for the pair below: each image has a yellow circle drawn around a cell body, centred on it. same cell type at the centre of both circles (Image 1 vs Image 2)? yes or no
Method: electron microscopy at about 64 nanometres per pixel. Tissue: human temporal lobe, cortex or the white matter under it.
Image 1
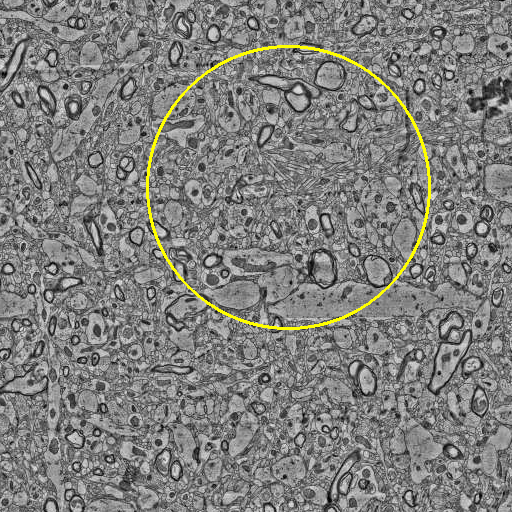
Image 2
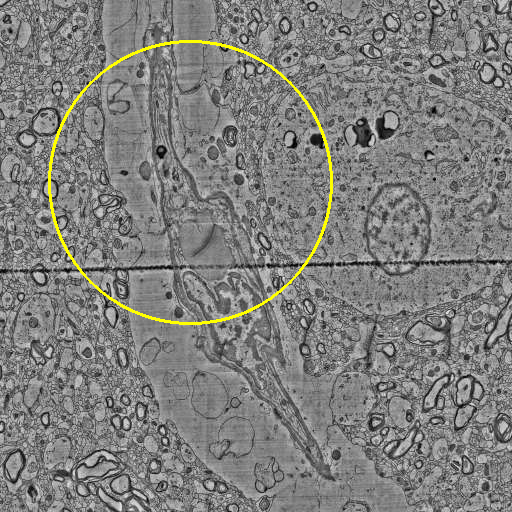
yes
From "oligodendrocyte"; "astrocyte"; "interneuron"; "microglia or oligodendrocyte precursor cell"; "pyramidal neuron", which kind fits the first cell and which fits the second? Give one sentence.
The cell at the ring centre is an oligodendrocyte in both pictures.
